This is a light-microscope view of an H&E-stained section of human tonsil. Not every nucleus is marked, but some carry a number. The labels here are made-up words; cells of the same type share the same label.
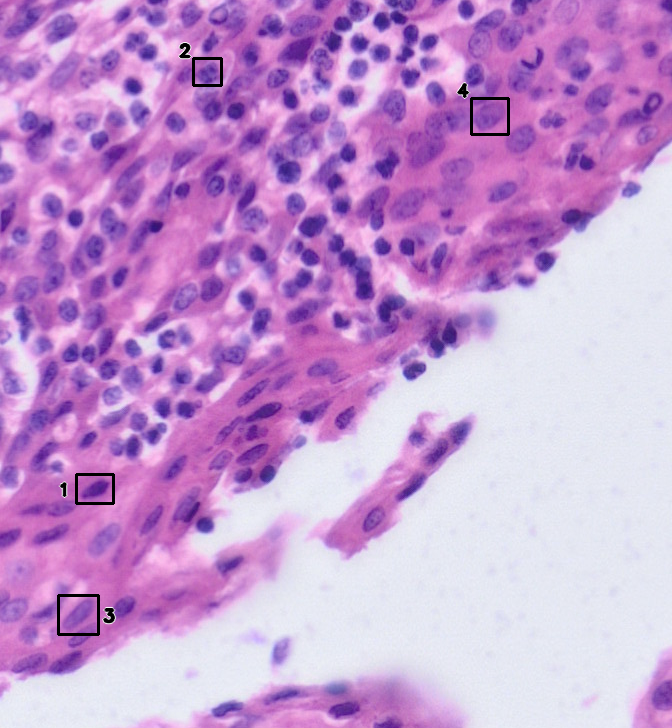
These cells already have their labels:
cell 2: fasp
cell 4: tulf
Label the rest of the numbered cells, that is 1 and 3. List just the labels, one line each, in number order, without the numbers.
tulf
tulf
